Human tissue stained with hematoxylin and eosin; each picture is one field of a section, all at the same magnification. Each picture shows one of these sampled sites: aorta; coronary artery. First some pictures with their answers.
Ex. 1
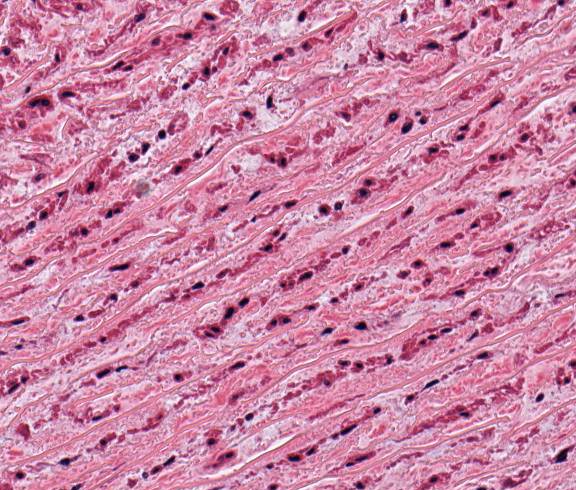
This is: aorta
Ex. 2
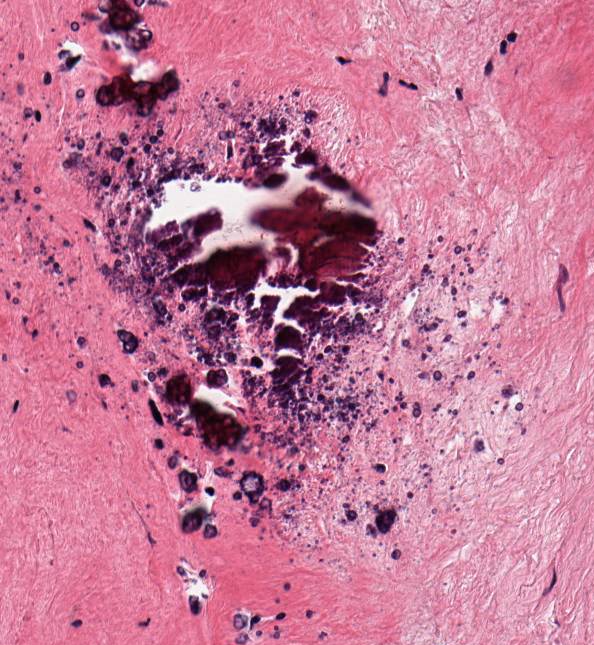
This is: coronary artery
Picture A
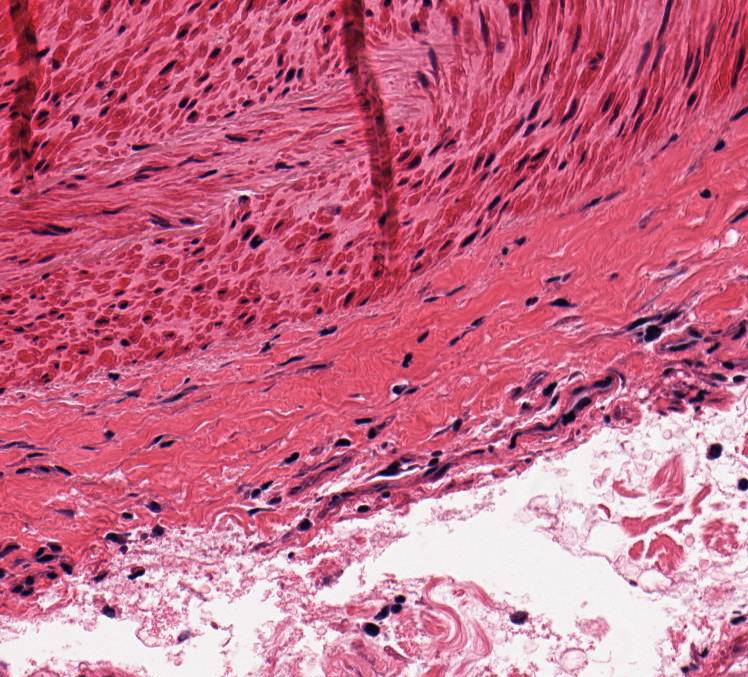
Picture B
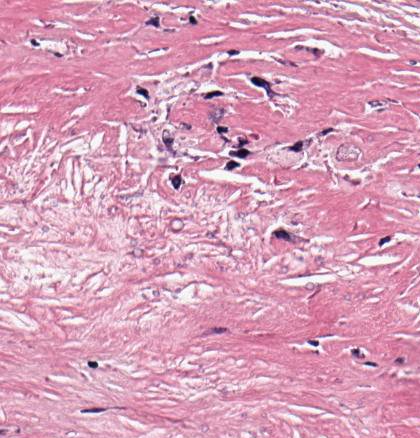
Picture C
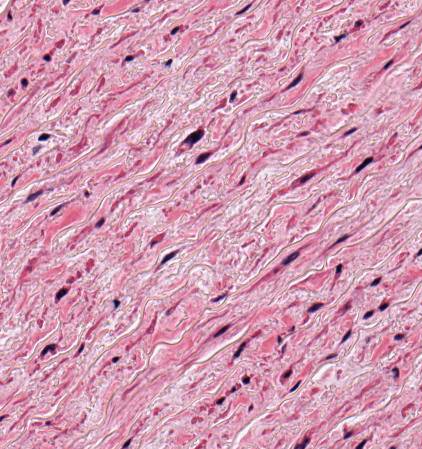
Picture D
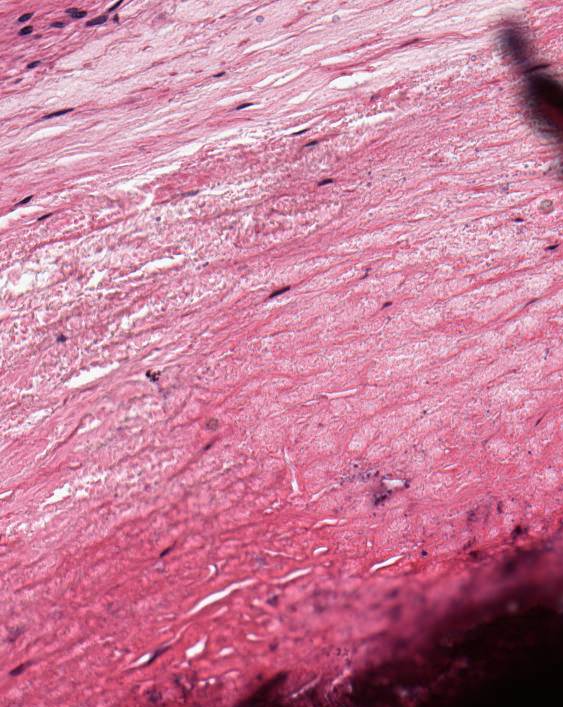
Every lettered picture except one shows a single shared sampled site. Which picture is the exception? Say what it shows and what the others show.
Picture C: aorta. All others: coronary artery.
